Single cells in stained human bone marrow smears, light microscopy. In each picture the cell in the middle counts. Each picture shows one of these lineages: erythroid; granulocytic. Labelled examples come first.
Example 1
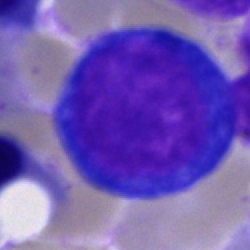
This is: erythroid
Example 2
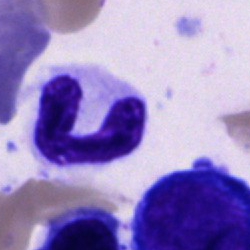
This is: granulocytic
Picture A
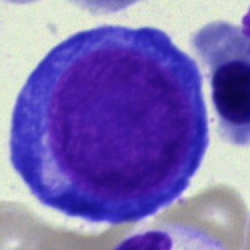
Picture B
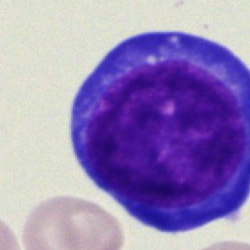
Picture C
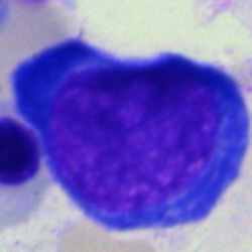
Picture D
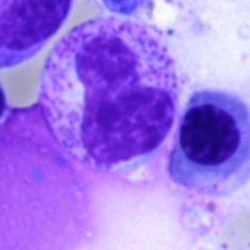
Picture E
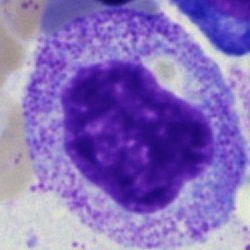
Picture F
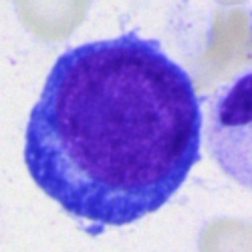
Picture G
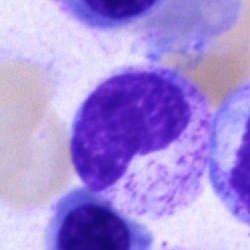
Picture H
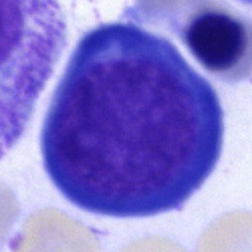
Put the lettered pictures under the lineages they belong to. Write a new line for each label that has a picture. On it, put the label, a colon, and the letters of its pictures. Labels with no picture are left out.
erythroid: A, B, C, F, H
granulocytic: D, E, G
